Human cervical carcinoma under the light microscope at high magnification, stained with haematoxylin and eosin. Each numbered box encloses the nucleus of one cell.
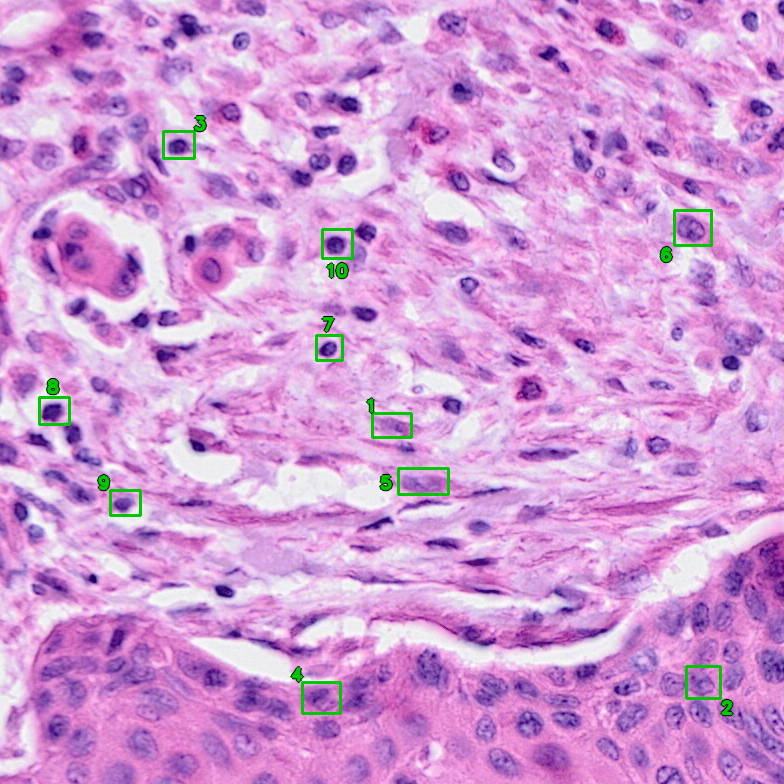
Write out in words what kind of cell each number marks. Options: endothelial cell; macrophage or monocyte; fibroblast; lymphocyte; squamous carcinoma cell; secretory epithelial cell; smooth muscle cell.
Cells 1 and 5 are fibroblasts. Cells 2 and 4 are squamous carcinoma cells. Cells 3, 7, 8, 9 and 10 are lymphocytes. Cell 6 is a macrophage or monocyte.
